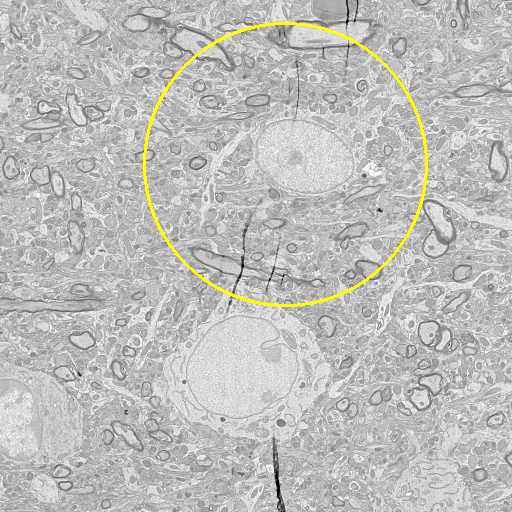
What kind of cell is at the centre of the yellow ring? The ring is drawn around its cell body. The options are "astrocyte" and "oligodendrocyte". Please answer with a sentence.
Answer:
The yellow ring marks the cell body of an astrocyte.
